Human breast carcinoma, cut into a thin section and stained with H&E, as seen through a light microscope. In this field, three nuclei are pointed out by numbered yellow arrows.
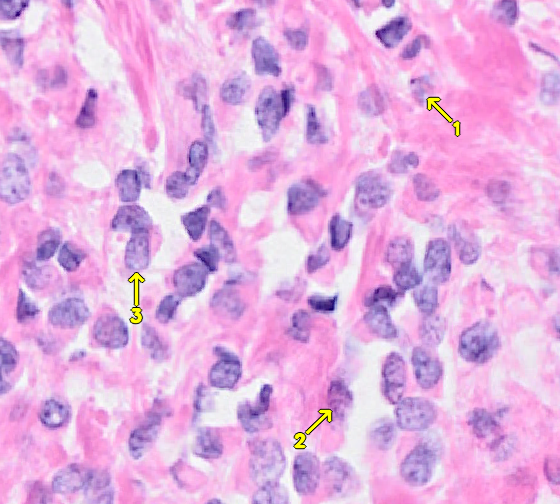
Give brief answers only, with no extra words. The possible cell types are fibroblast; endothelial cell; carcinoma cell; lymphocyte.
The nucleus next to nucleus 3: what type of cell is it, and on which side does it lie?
a carcinoma cell, above nucleus 3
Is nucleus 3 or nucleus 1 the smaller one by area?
1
